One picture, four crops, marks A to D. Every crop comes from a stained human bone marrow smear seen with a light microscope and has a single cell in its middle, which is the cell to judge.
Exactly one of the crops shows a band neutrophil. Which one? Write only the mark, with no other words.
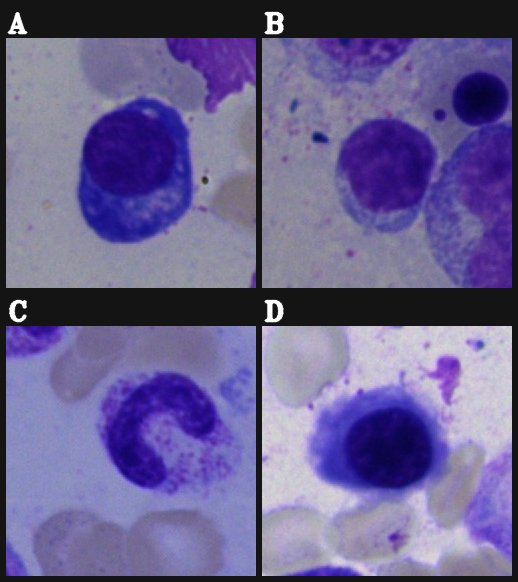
C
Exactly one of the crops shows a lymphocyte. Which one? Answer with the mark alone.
B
